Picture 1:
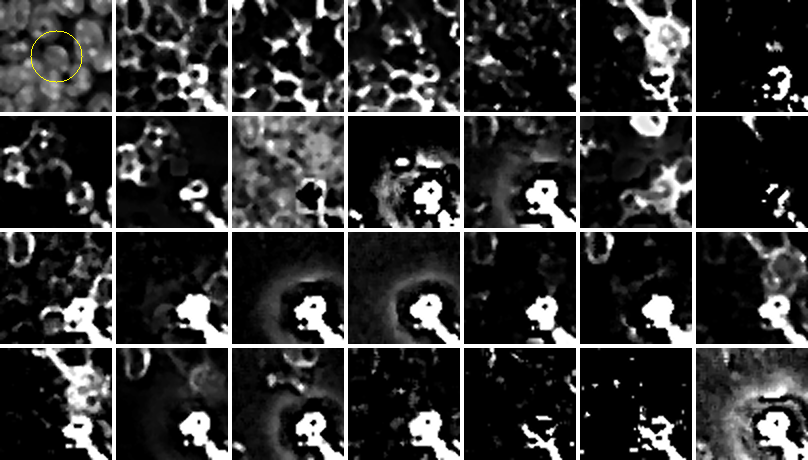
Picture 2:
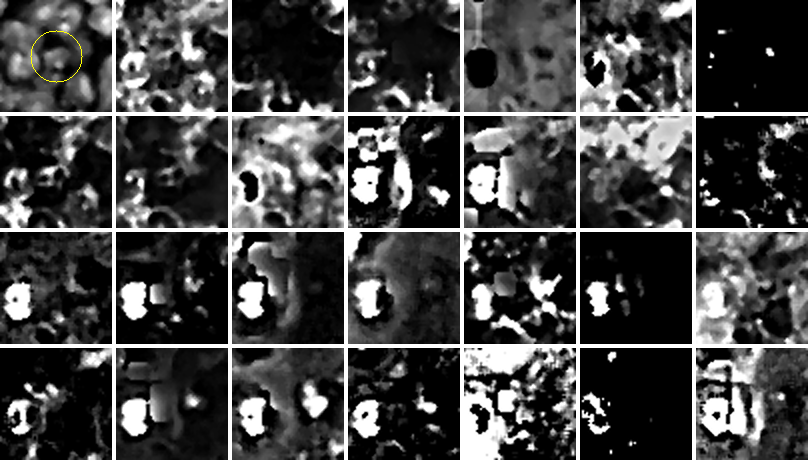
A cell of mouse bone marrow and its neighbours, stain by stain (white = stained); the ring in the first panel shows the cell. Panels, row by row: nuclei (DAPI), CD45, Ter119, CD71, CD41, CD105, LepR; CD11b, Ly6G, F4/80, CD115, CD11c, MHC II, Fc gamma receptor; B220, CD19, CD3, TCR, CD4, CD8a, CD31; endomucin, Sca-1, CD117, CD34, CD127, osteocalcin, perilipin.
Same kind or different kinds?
Same: monocytes.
